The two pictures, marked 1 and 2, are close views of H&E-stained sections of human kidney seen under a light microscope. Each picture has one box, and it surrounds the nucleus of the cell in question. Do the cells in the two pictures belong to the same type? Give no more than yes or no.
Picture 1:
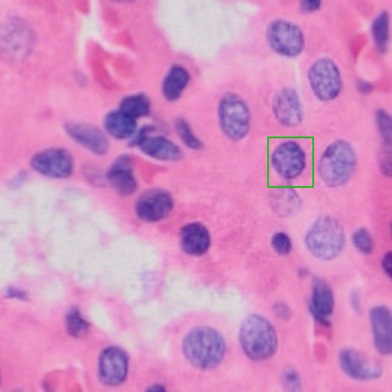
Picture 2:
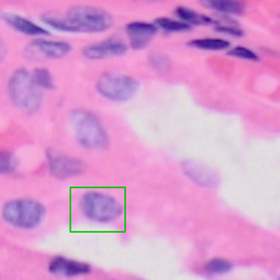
yes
